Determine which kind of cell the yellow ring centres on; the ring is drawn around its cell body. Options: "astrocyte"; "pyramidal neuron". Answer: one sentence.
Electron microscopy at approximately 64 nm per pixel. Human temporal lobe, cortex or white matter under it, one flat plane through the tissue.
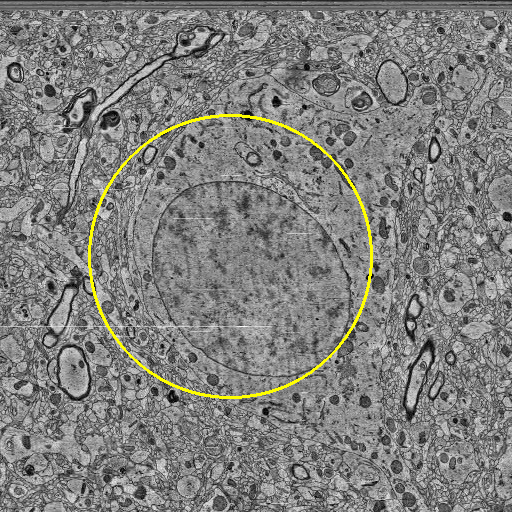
The ring centres on a pyramidal neuron.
